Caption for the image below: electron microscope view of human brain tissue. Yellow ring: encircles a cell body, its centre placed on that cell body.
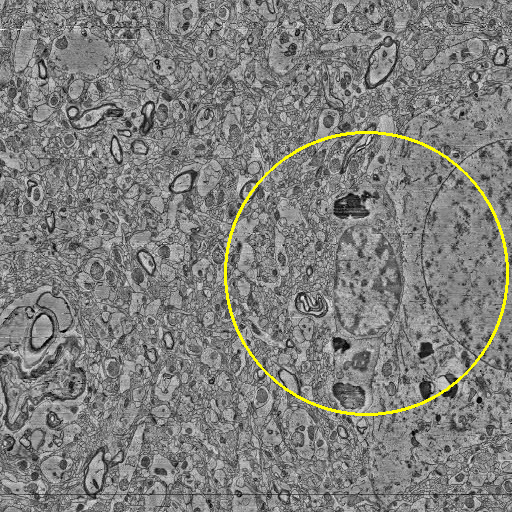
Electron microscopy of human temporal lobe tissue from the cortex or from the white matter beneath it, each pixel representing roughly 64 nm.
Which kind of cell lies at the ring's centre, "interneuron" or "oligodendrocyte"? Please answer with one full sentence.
The picture shows an oligodendrocyte at the centre of the yellow ring.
